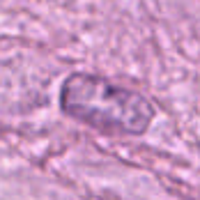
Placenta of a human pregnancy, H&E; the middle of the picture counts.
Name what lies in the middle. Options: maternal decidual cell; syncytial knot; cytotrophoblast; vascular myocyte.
maternal decidual cell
